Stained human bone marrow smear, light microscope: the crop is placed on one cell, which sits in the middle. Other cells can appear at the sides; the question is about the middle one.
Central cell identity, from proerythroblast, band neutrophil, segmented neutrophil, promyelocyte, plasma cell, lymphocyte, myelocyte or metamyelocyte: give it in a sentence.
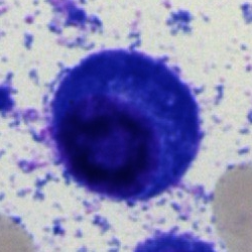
The cell the crop is centered on is a plasma cell.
